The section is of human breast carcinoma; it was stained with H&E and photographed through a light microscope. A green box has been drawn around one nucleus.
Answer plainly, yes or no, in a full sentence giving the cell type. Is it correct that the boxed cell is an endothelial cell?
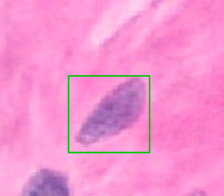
No, that is wrong: the boxed cell is a fibroblast, not an endothelial cell.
